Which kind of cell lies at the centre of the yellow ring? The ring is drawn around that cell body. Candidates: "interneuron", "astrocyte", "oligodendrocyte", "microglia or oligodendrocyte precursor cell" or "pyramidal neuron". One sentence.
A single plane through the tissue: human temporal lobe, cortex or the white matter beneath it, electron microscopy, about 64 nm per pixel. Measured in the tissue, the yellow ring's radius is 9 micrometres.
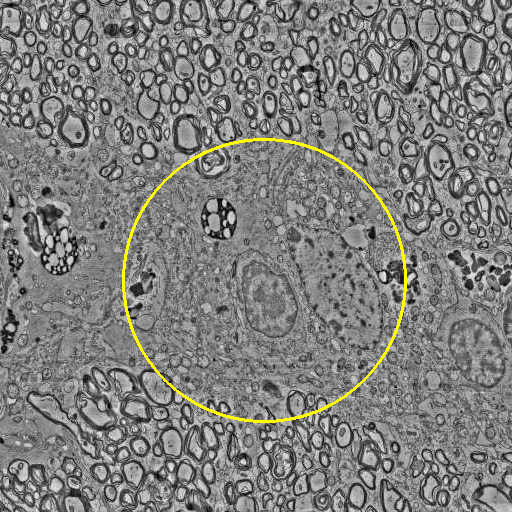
Lying at the centre of the ring is an oligodendrocyte.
